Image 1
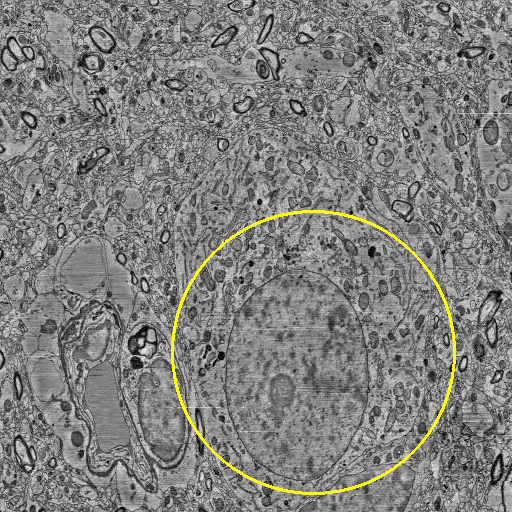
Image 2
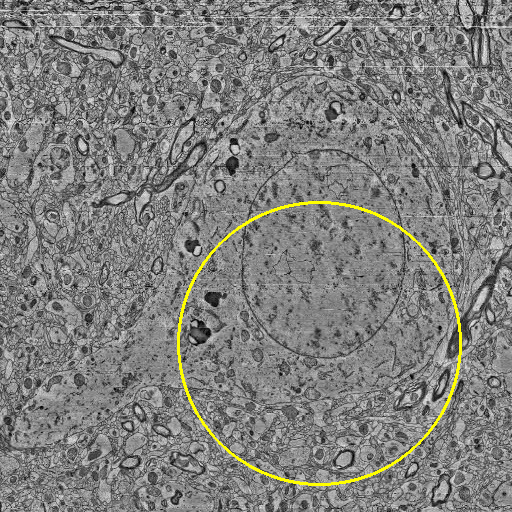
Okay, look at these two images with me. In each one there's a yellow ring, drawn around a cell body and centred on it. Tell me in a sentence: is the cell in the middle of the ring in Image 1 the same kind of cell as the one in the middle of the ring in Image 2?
No, they're two kinds of cell.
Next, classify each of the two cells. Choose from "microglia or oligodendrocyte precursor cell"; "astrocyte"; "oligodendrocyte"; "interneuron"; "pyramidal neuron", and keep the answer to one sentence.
In the first picture it is an interneuron; in the second it is a pyramidal neuron.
